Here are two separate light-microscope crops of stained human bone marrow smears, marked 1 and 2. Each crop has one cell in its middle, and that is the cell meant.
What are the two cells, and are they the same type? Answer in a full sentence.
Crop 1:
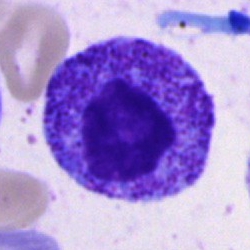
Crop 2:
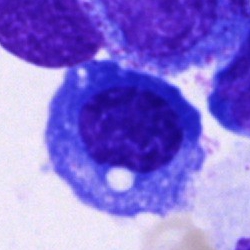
No, crop 1 represents a promyelocyte, and crop 2 represents a plasma cell.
